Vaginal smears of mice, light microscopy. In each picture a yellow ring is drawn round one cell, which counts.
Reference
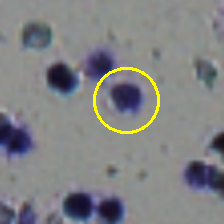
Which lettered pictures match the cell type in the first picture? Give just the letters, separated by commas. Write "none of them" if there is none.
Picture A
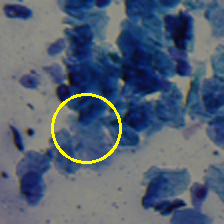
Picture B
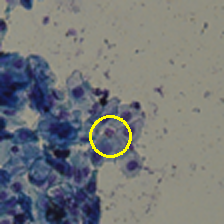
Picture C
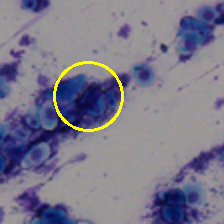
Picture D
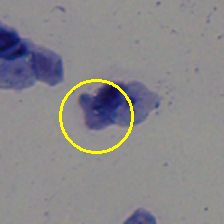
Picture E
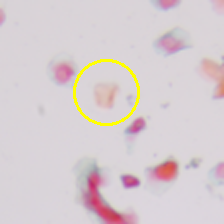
none of them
